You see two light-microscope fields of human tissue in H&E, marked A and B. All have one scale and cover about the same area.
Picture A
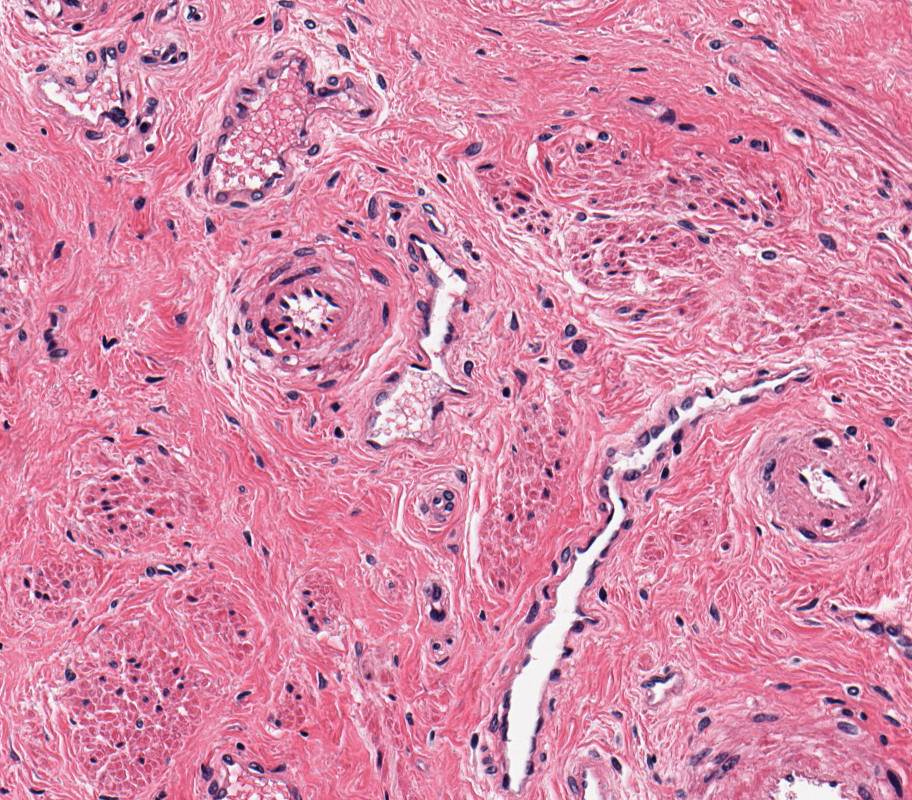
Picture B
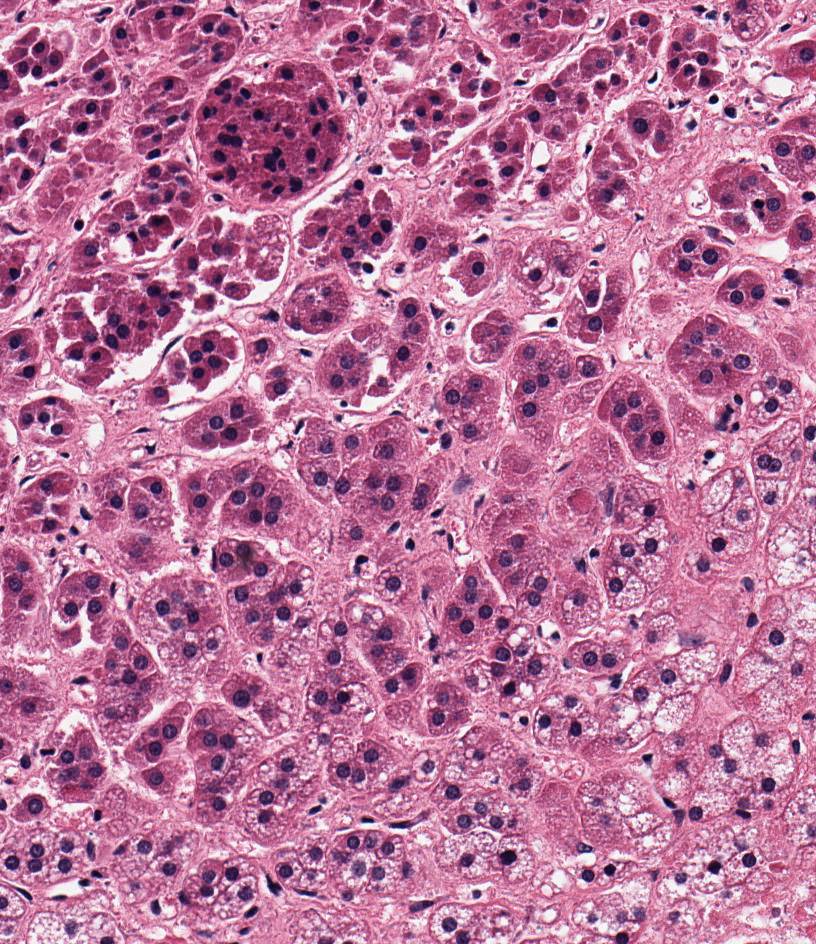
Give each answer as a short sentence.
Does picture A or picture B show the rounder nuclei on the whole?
Rounder nuclei lie in picture B.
